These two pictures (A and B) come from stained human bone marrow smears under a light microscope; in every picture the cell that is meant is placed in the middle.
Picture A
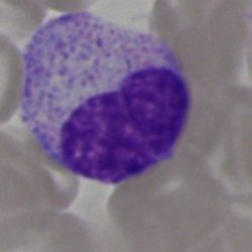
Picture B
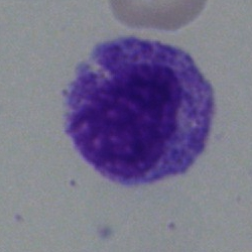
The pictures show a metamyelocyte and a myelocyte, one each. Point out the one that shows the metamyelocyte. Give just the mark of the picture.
A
